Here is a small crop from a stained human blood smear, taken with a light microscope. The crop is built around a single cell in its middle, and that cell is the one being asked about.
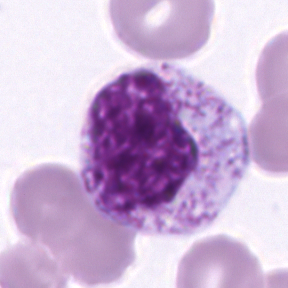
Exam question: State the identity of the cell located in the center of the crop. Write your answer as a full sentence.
This crop has a metamyelocyte at its centre.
